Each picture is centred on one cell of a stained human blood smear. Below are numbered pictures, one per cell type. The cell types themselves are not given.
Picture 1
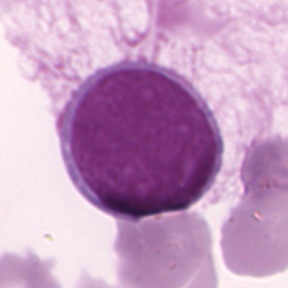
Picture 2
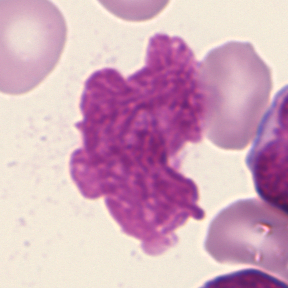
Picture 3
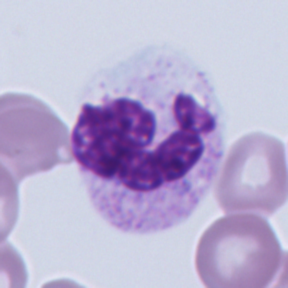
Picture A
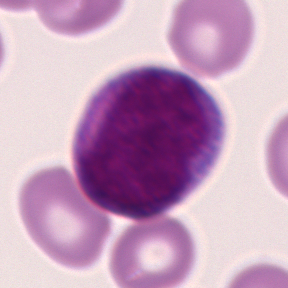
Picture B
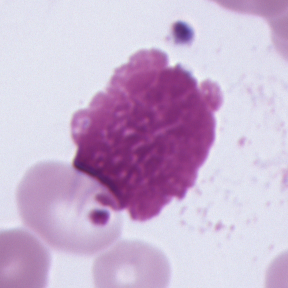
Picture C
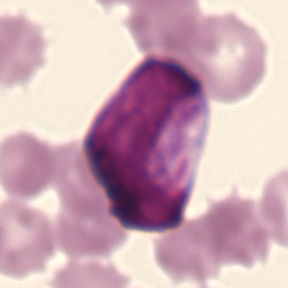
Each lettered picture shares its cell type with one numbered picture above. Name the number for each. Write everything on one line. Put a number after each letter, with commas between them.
A 1, B 2, C 1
